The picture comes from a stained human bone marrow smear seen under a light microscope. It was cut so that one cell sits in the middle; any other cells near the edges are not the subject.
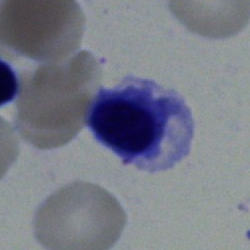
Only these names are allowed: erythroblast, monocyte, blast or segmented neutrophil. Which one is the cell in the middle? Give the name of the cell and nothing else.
erythroblast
